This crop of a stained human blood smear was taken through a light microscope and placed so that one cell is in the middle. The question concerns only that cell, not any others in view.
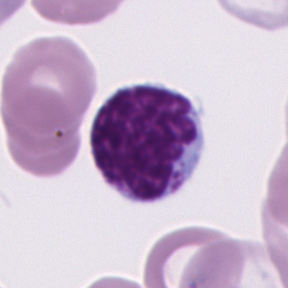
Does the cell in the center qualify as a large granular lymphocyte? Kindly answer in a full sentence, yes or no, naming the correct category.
Yes, centred in the crop is a large granular lymphocyte.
